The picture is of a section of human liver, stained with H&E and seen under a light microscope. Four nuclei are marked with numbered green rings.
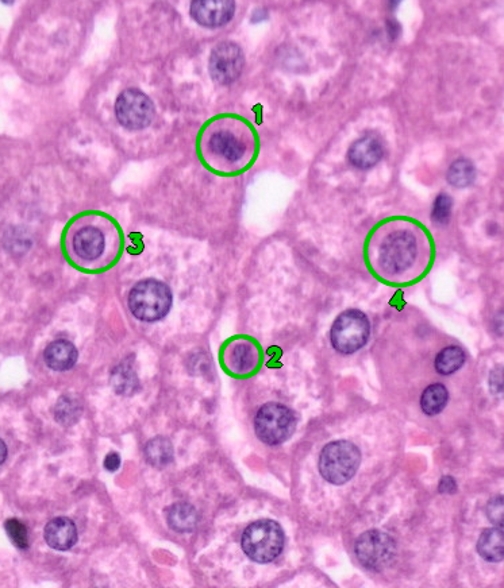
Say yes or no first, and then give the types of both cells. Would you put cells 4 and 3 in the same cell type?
Yes, the numbered cells 4 and 3 are both hepatocytes.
